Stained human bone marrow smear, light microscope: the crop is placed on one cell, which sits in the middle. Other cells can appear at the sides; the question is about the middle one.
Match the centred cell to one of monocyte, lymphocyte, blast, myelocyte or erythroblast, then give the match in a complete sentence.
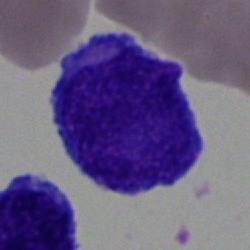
Standing at the centre of this crop is a blast.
